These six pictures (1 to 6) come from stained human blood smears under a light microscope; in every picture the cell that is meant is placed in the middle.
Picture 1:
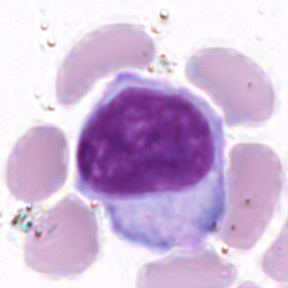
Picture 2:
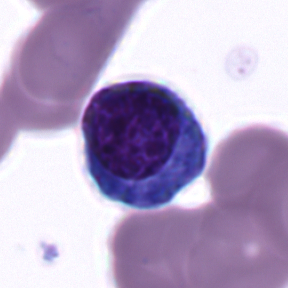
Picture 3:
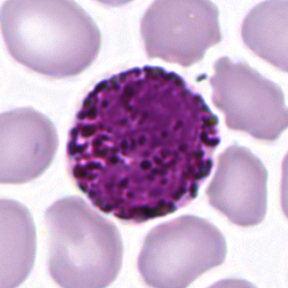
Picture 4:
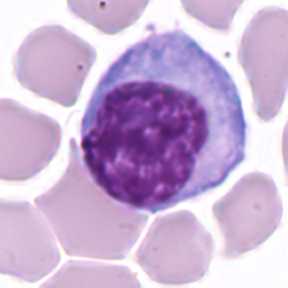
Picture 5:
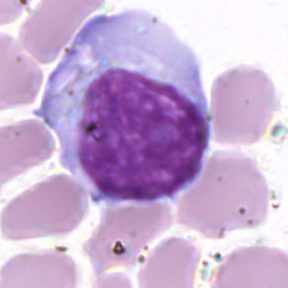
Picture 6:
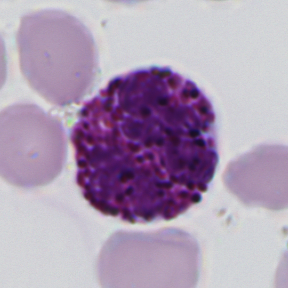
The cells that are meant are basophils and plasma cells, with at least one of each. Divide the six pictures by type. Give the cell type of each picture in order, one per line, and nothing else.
plasma cell
plasma cell
basophil
plasma cell
plasma cell
basophil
